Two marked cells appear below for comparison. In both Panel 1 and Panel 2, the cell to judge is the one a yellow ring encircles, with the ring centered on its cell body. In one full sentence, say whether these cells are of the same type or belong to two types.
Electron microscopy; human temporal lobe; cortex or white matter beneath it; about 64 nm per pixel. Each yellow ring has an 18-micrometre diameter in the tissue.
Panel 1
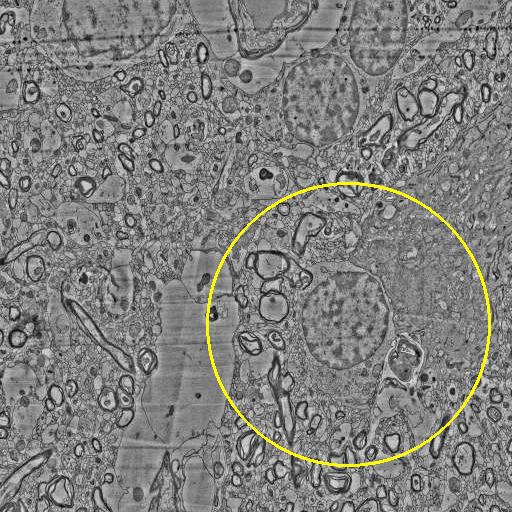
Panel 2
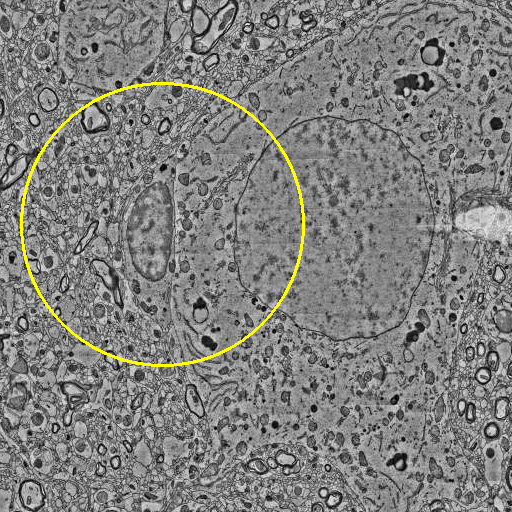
The cell centered in the Panel 1 ring and the one in Panel 2 are of the same type.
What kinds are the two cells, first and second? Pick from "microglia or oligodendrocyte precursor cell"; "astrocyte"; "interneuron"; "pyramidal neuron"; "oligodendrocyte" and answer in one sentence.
In each picture the ringed cell is an oligodendrocyte.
